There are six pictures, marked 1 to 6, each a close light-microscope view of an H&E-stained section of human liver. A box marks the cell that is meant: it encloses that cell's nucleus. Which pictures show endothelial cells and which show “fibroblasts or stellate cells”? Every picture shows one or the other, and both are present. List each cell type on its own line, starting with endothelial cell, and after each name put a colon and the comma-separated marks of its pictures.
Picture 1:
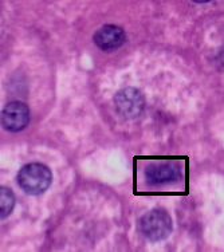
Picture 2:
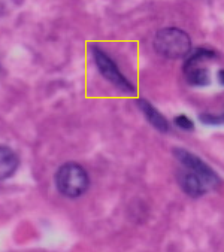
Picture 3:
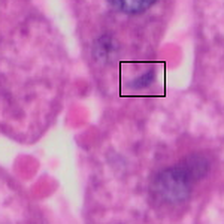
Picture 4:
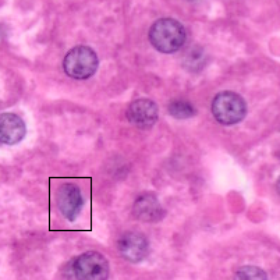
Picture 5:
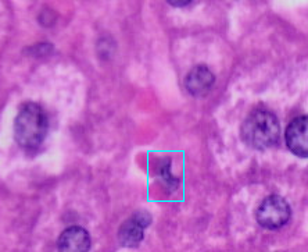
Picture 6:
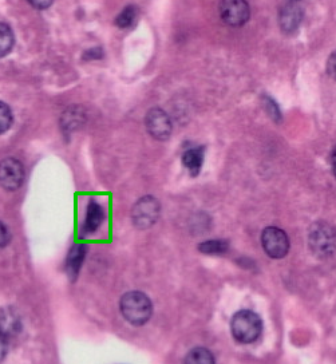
endothelial cell: 4, 5
fibroblast or stellate cell: 1, 2, 3, 6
